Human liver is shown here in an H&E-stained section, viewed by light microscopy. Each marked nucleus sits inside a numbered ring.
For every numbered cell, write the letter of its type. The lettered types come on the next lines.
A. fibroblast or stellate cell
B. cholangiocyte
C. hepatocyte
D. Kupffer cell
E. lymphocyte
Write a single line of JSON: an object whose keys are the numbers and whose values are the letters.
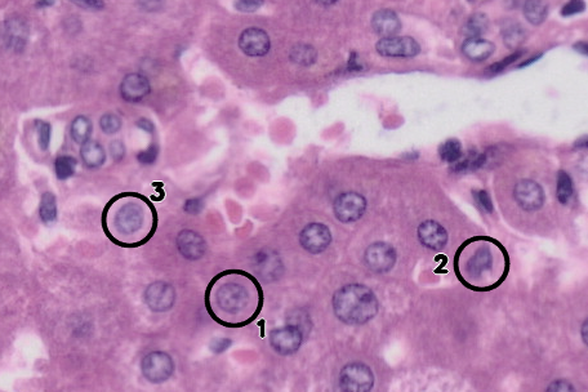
{"1": "C", "2": "A", "3": "B"}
